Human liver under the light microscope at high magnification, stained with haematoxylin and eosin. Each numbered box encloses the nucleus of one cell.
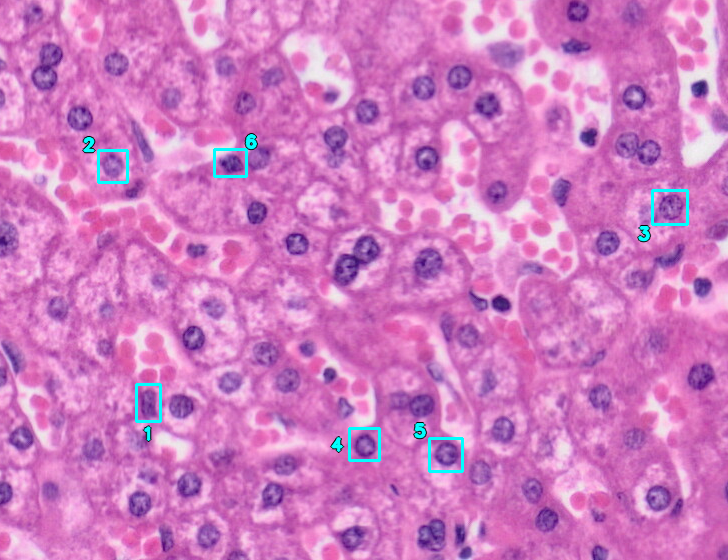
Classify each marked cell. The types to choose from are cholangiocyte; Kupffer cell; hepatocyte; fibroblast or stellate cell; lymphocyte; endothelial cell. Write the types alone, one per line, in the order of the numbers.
fibroblast or stellate cell
hepatocyte
hepatocyte
hepatocyte
hepatocyte
fibroblast or stellate cell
